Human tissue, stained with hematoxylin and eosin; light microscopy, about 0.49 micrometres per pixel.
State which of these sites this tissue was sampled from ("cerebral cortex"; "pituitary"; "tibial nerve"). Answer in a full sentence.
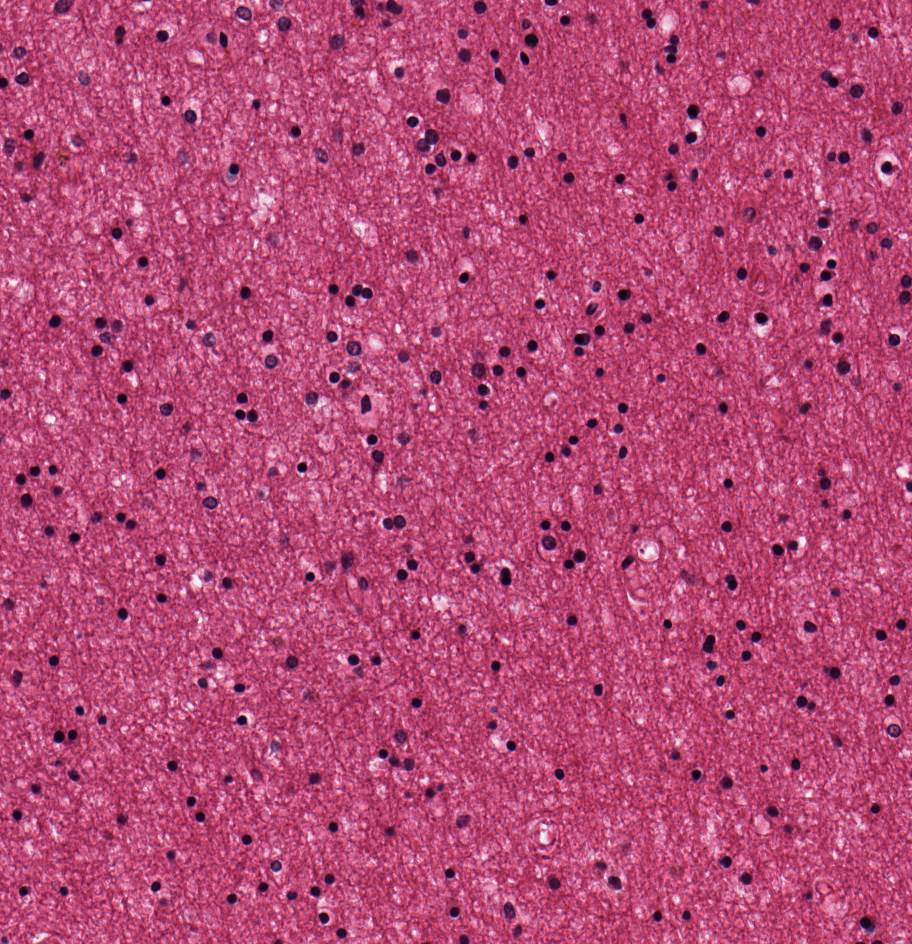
The site this tissue was sampled from is the cerebral cortex.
